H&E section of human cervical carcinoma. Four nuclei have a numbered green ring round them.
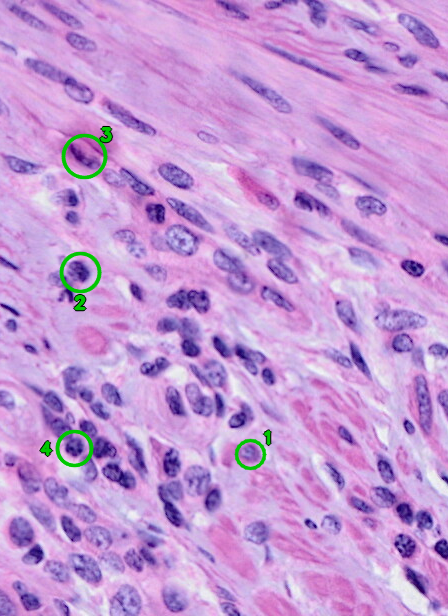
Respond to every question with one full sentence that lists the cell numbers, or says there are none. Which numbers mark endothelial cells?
Only number 3 of the marked cells is an endothelial cell.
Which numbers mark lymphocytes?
To be specific, the cells numbered 2 and 4 are lymphocytes.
